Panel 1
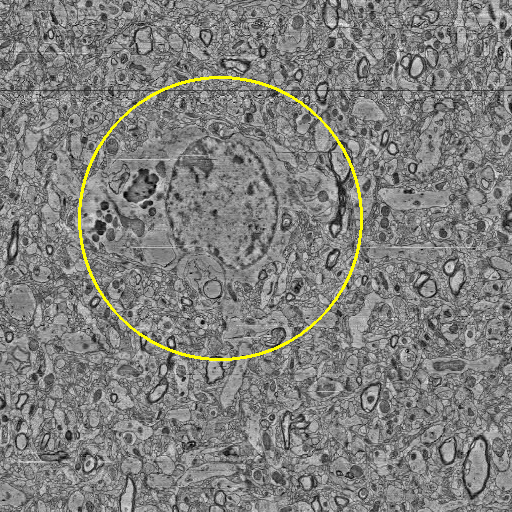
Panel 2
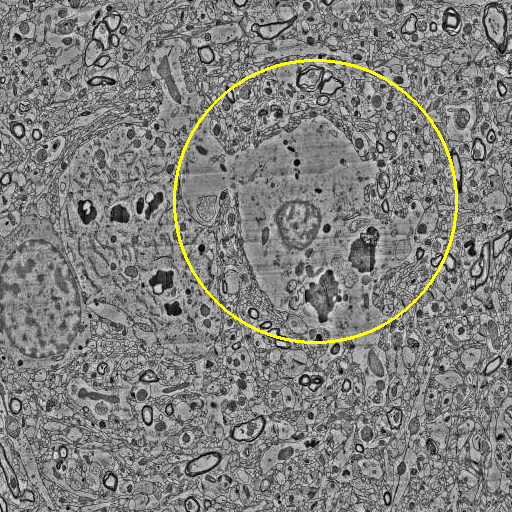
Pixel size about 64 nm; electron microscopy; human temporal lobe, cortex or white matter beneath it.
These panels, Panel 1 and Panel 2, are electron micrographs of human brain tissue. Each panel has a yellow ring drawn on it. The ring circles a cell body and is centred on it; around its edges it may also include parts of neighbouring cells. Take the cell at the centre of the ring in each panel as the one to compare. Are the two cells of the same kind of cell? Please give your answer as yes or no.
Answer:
yes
